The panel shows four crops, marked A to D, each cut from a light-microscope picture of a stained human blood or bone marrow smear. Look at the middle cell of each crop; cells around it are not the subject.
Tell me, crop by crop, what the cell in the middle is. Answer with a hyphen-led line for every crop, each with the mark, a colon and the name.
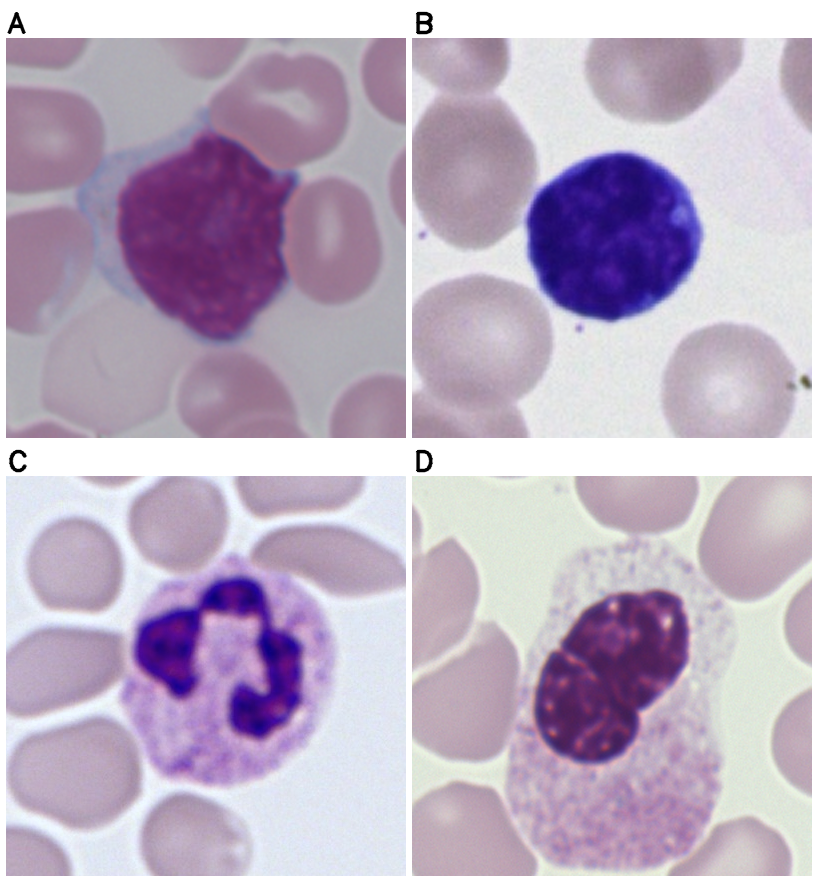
- A: lymphocyte
- B: lymphocyte
- C: segmented neutrophil
- D: segmented neutrophil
